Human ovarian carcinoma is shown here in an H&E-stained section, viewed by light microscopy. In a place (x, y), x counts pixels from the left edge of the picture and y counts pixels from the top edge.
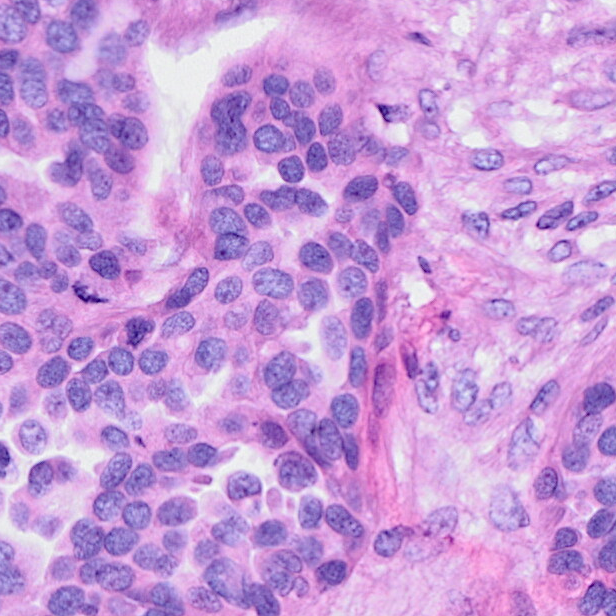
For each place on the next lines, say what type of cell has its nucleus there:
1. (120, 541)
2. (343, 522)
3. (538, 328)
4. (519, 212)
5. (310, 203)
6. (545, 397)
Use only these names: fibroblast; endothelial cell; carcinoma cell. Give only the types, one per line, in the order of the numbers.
carcinoma cell
carcinoma cell
fibroblast
fibroblast
carcinoma cell
fibroblast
